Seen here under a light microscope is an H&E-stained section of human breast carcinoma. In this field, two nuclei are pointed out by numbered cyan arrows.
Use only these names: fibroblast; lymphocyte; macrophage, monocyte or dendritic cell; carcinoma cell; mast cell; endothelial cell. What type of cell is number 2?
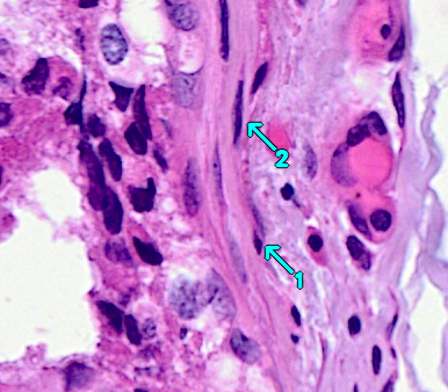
fibroblast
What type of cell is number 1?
endothelial cell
